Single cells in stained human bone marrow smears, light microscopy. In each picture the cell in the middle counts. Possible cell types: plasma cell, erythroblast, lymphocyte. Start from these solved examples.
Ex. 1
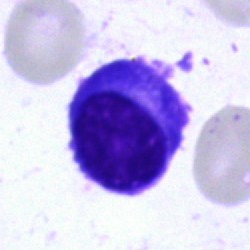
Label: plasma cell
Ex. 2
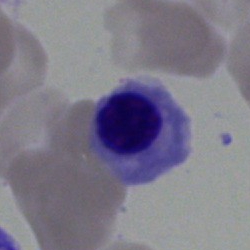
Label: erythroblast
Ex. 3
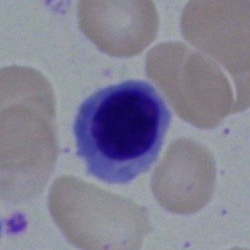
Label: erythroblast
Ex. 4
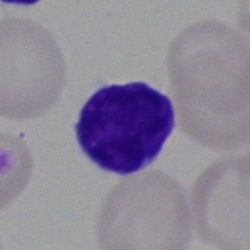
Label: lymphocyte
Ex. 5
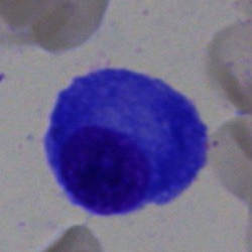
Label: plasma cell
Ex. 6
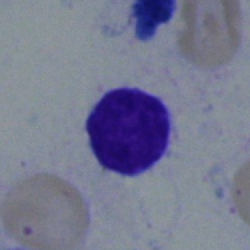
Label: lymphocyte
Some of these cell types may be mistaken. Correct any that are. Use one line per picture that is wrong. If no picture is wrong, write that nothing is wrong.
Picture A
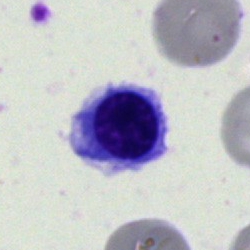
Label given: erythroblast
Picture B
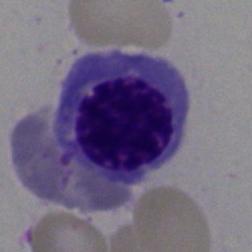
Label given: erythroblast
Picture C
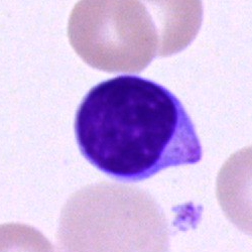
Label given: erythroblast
C should be lymphocyte, not erythroblast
